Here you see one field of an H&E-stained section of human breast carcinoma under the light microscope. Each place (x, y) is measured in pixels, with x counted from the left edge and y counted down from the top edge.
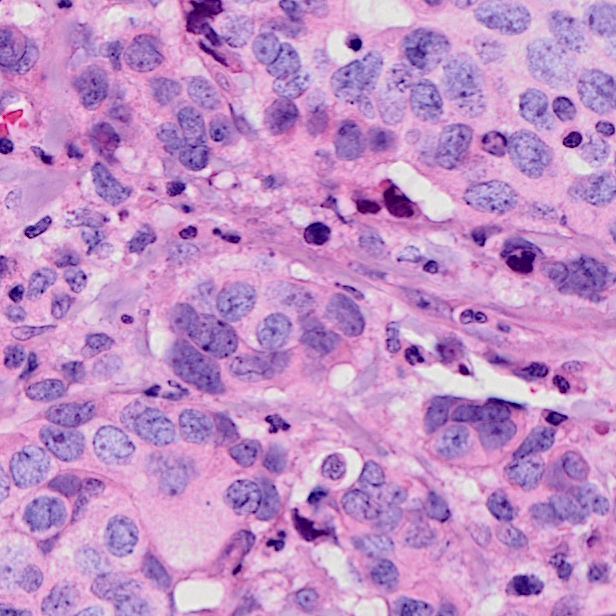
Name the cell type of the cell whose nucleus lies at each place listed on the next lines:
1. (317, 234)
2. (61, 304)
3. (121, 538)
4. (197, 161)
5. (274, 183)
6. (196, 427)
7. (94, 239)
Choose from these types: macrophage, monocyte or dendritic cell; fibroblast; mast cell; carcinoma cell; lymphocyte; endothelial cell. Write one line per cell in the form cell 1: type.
cell 1: carcinoma cell
cell 2: macrophage, monocyte or dendritic cell
cell 3: carcinoma cell
cell 4: carcinoma cell
cell 5: macrophage, monocyte or dendritic cell
cell 6: carcinoma cell
cell 7: macrophage, monocyte or dendritic cell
